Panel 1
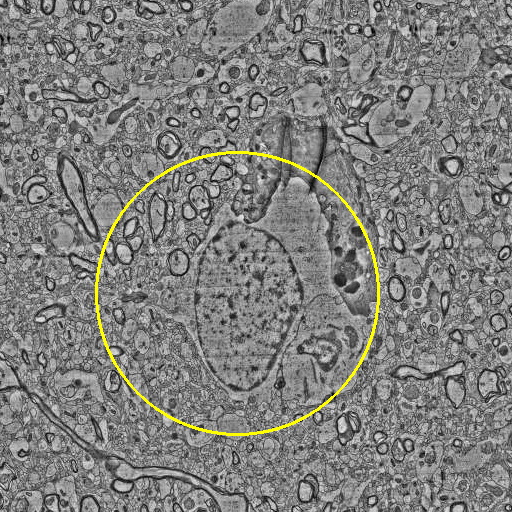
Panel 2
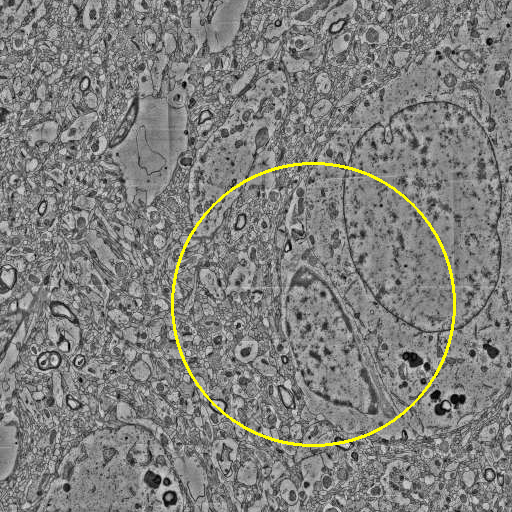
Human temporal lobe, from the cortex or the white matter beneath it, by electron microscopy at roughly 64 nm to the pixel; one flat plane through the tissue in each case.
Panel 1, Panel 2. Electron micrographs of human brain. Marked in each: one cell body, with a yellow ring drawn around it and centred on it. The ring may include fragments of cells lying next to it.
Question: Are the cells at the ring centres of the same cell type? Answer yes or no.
yes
